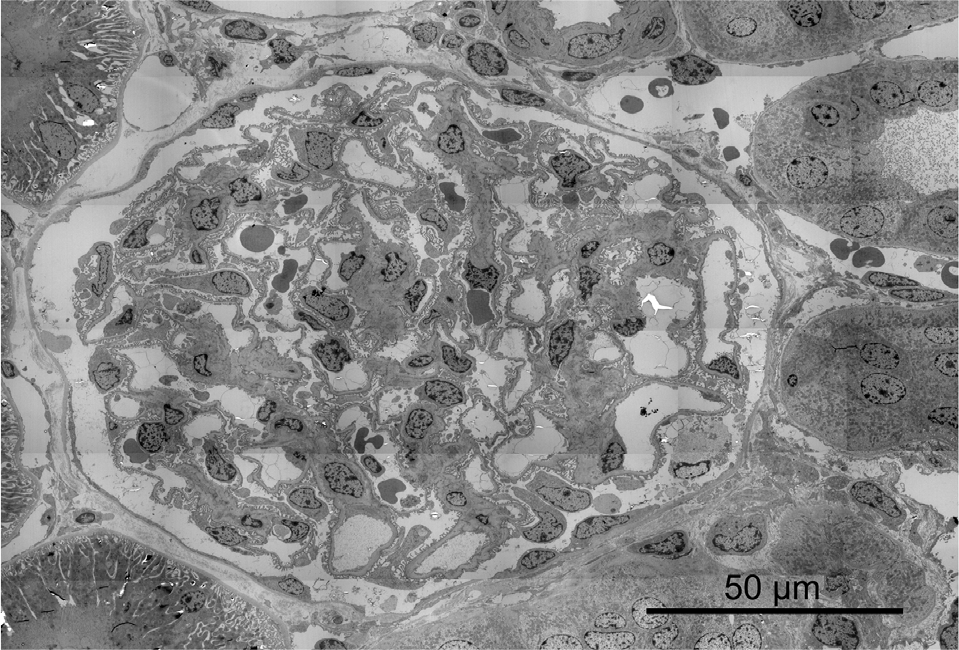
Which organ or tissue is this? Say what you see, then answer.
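A rounded tuft of many looping capillaries fills the centre. Dark round red blood cells lie inside the capillary lumens. A thin capsule with a clear space around it encloses the tuft. Tubules lined by cuboidal epithelial cells surround it. The answer: renal glomerulus.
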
